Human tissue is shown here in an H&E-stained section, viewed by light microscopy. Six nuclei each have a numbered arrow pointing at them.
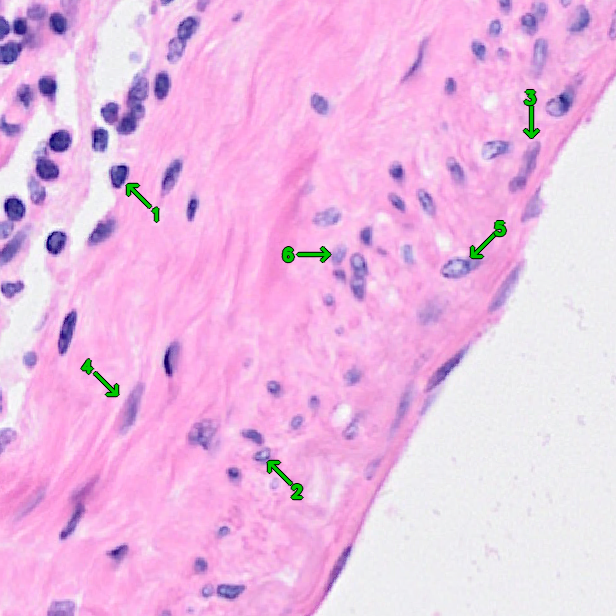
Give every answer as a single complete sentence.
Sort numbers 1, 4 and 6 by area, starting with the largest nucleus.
The nuclei rank 4, 1, 6, from largest to smallest.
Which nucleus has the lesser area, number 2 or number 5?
With nucleus 5 about 3 times its size, nucleus 2 is the smaller of the two.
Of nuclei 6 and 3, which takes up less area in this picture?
Number 6 is smaller, since number 3 takes up about 2 times as much area.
